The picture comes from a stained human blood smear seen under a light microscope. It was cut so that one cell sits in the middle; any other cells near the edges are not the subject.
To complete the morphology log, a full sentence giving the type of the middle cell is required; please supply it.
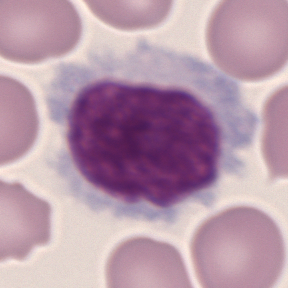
By type, the central cell of the crop is a hairy cell.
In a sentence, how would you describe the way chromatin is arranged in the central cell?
The chromatin shows a fine pattern without coarse clumps.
